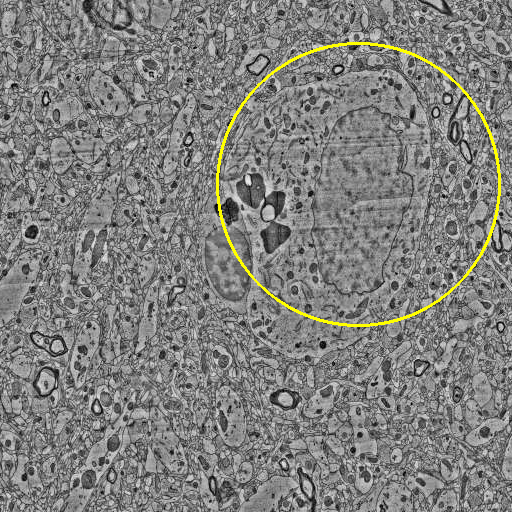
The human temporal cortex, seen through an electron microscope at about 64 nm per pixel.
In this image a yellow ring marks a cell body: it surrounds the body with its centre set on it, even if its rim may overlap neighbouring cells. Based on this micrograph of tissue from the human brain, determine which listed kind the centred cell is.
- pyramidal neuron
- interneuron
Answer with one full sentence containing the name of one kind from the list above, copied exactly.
It is an interneuron whose body the yellow ring encloses at its centre.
